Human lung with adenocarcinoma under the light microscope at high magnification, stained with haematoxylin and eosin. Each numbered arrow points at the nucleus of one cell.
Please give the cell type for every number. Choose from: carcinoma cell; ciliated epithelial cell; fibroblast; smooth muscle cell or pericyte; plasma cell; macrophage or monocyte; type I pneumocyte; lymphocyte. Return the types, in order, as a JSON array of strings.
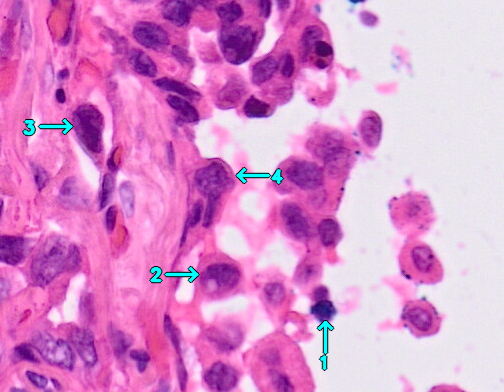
["lymphocyte", "carcinoma cell", "carcinoma cell", "carcinoma cell"]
